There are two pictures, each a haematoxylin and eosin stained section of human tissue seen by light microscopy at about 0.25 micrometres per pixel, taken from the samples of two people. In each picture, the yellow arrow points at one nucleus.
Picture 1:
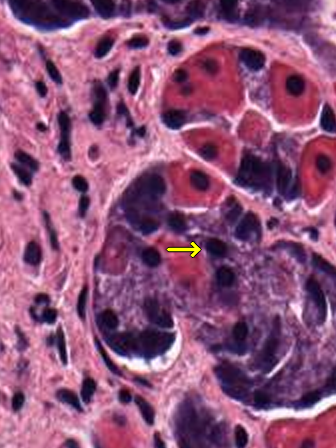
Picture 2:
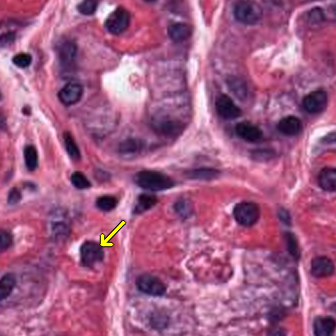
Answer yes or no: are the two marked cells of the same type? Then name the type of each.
No, the first is a chief cell and the second a parietal cell.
